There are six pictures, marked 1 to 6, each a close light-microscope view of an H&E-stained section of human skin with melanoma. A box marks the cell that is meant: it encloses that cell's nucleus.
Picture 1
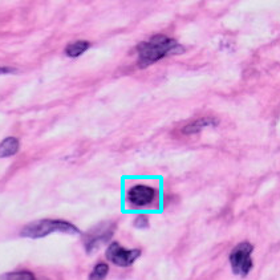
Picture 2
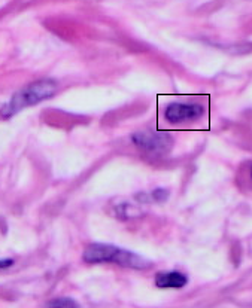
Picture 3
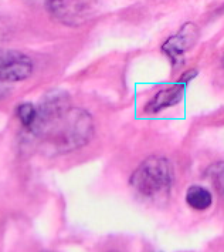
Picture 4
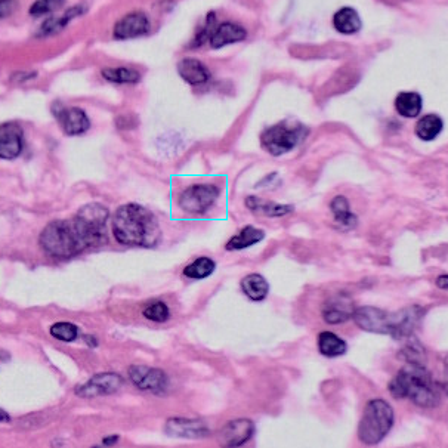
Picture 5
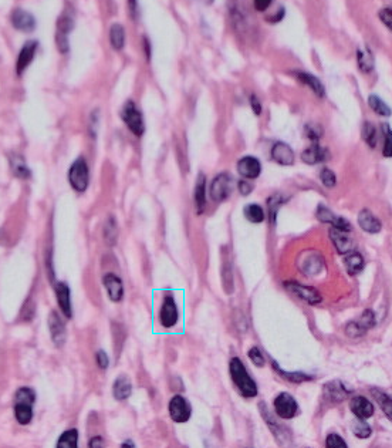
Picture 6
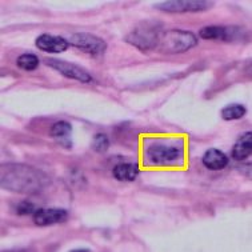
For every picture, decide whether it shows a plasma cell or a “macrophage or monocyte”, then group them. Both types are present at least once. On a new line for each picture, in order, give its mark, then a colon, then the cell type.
1: plasma cell
2: macrophage or monocyte
3: macrophage or monocyte
4: macrophage or monocyte
5: plasma cell
6: plasma cell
